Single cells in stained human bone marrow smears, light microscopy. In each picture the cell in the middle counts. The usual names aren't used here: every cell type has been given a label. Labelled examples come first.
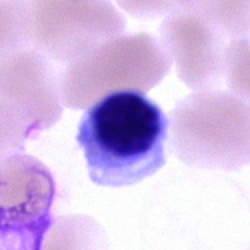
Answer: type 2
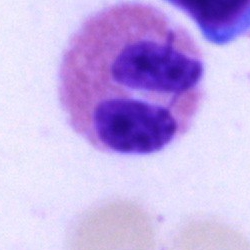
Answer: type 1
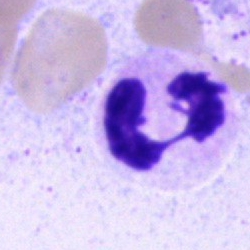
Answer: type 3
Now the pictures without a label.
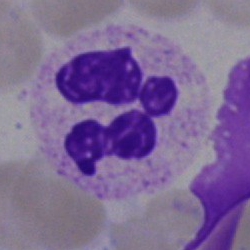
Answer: type 3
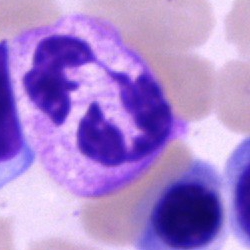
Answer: type 3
